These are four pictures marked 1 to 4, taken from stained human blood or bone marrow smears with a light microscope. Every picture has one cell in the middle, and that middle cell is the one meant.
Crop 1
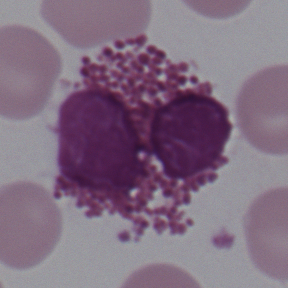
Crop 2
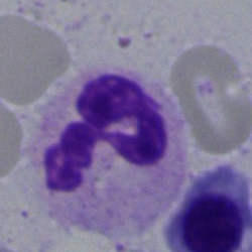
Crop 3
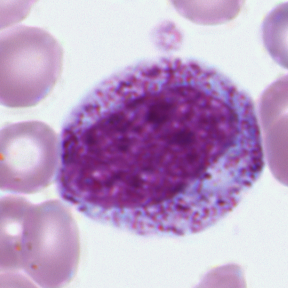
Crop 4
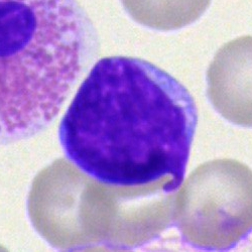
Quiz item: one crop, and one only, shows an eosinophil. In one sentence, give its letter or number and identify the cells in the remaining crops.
In crop 1, the cell at the centre is an eosinophil, while crop 2 is a neutrophil, crop 3 is a promyelocyte and crop 4 is a blast.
